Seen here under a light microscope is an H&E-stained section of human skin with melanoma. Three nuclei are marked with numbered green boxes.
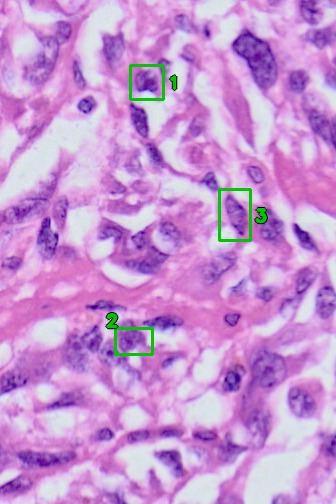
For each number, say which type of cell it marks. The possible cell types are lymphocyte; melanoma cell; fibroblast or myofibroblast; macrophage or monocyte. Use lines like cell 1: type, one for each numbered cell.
cell 1: melanoma cell
cell 2: melanoma cell
cell 3: macrophage or monocyte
